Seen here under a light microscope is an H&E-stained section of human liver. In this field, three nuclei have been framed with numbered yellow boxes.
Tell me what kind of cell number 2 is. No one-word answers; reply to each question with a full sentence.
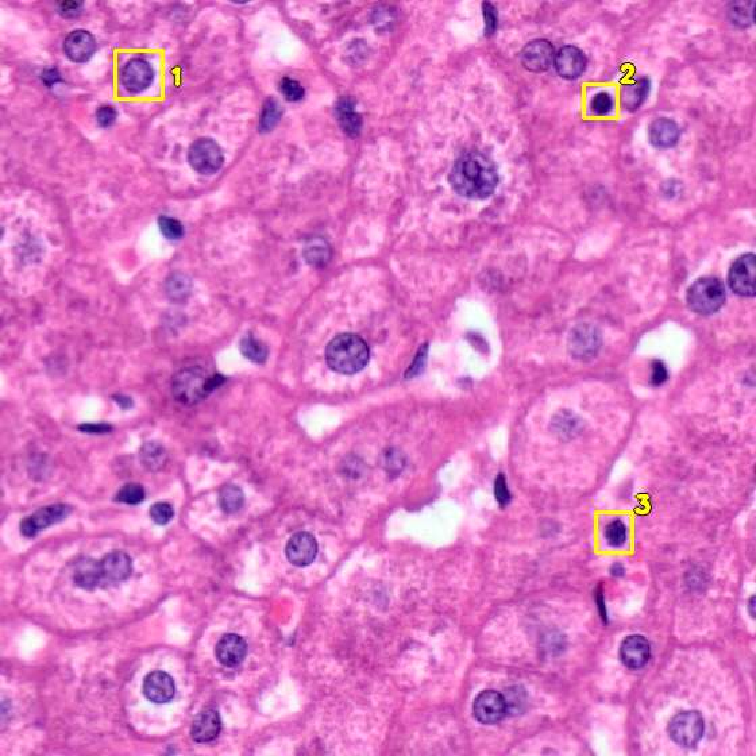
Among the marked nuclei, number 2 belongs to a lymphocyte.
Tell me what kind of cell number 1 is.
The mark numbered 1 indicates the nucleus of a hepatocyte.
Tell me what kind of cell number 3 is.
At number 3, the marked cell is a lymphocyte.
